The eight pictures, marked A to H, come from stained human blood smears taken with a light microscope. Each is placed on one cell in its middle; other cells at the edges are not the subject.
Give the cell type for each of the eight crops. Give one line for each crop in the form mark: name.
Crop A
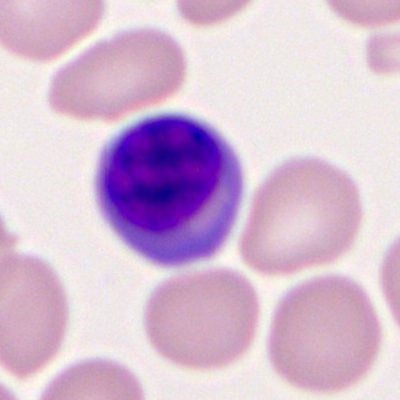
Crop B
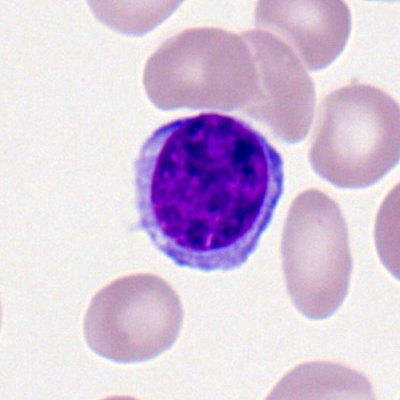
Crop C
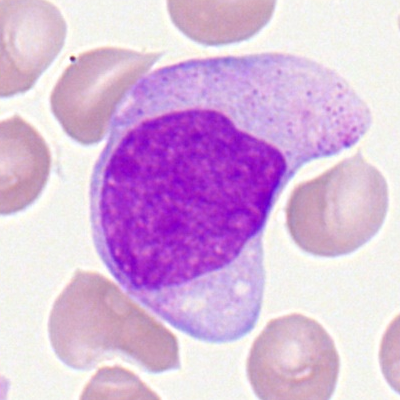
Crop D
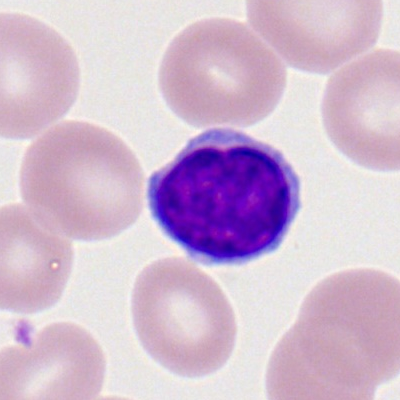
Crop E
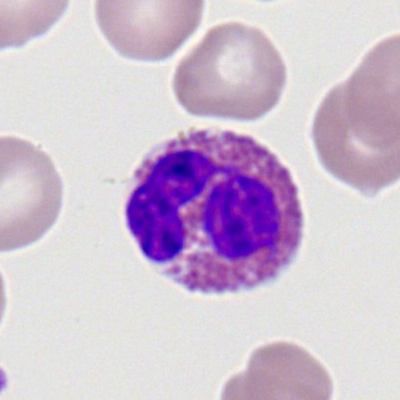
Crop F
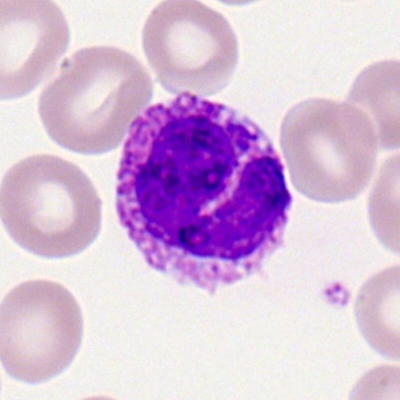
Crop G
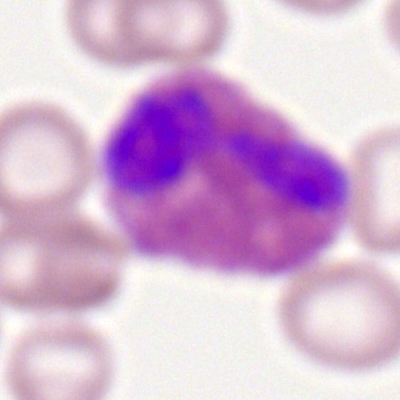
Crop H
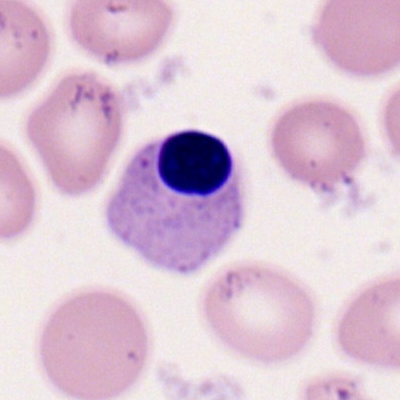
A: normoblast
B: lymphocyte
C: monocyte
D: lymphocyte
E: eosinophil
F: basophil
G: eosinophil
H: normoblast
